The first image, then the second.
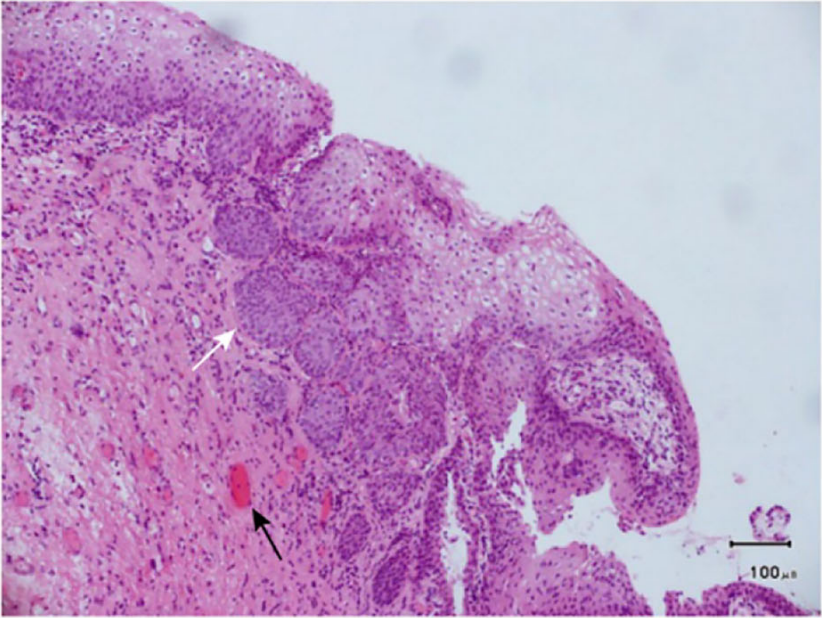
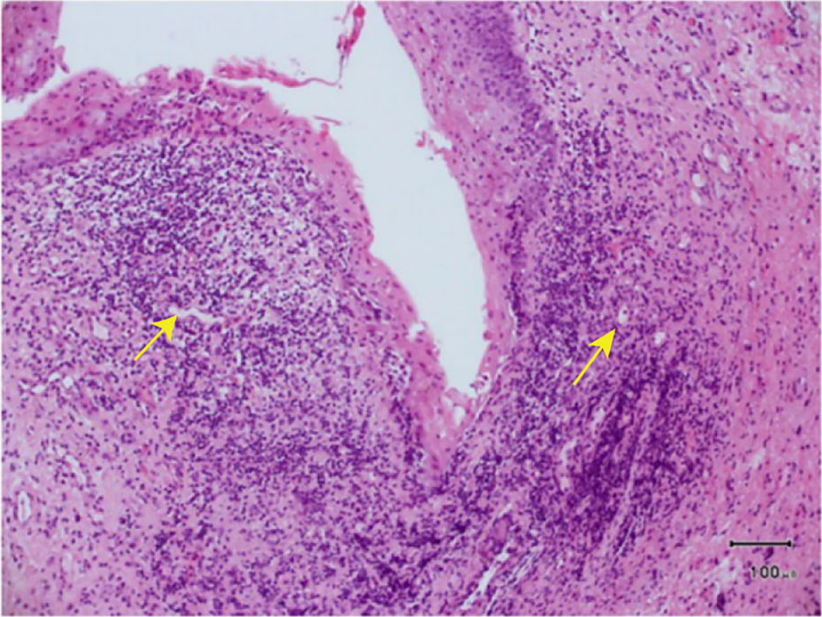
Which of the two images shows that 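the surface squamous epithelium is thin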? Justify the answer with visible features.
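The second image. First image: the surface epithelium is thick, with many layers and nests extending down into the stroma.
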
